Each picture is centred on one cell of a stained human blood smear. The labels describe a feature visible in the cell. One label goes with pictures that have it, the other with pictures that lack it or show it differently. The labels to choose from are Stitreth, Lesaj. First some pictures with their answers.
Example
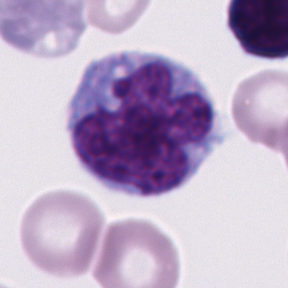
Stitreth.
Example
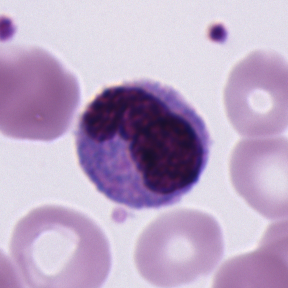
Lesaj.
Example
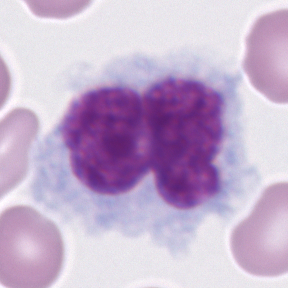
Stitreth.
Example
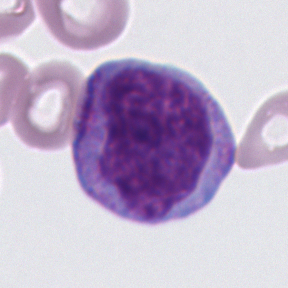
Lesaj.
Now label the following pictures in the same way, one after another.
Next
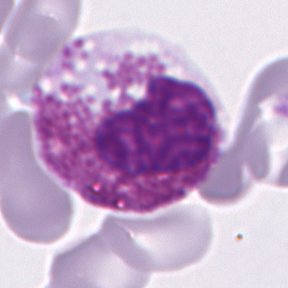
Lesaj.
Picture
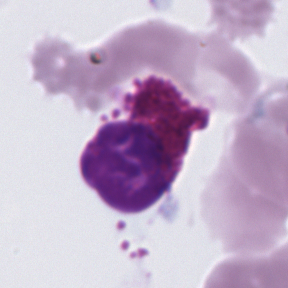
Lesaj.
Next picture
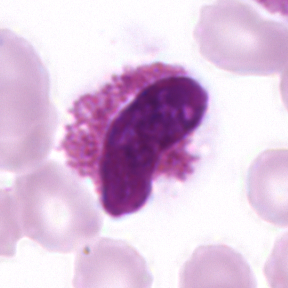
Lesaj.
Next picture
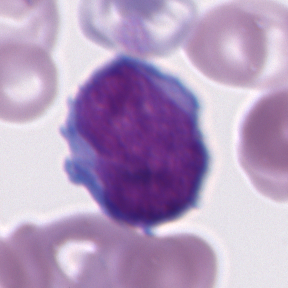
Lesaj.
